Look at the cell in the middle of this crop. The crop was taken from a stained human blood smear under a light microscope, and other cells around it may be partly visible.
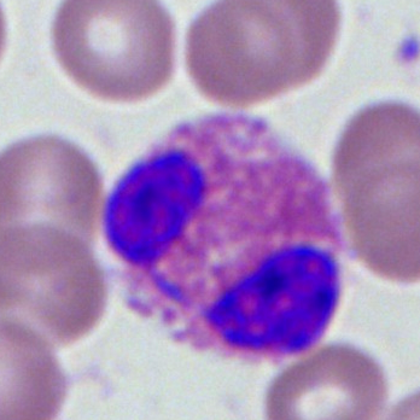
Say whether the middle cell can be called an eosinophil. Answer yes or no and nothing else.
yes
